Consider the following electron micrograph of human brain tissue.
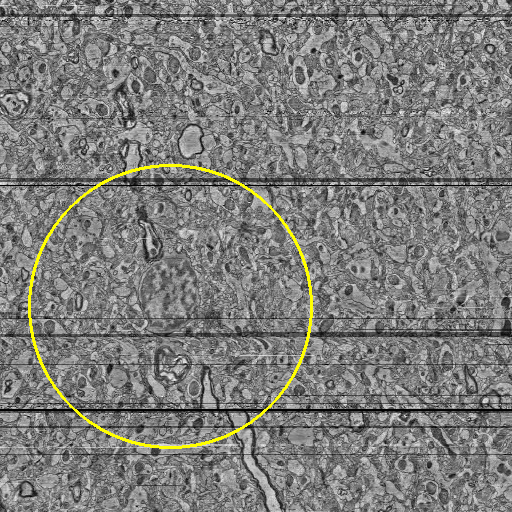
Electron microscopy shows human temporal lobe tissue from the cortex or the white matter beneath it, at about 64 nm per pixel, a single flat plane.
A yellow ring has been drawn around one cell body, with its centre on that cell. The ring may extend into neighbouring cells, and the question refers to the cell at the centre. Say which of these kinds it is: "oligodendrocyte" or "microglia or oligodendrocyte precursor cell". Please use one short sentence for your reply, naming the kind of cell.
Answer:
The centre of the ring falls on an oligodendrocyte.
